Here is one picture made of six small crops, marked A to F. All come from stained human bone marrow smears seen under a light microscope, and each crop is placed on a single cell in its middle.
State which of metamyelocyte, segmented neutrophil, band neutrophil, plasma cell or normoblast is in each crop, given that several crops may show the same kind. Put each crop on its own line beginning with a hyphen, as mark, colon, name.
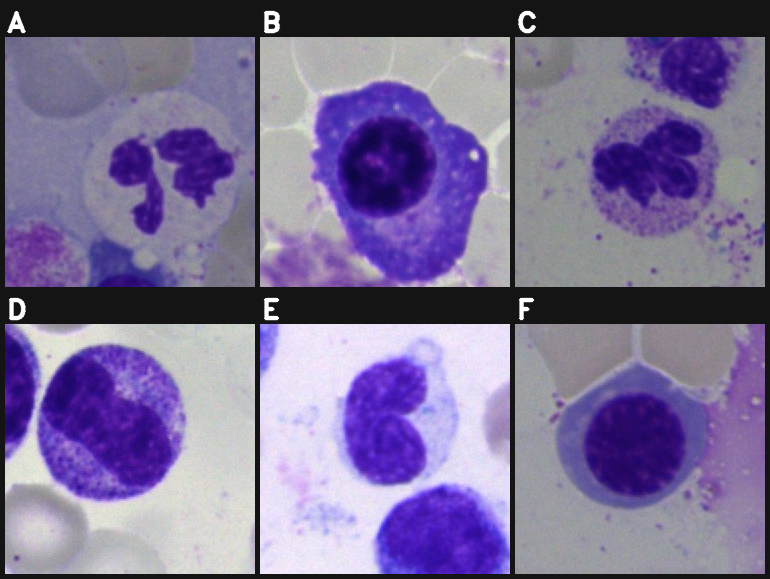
- A: segmented neutrophil
- B: plasma cell
- C: segmented neutrophil
- D: metamyelocyte
- E: metamyelocyte
- F: normoblast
